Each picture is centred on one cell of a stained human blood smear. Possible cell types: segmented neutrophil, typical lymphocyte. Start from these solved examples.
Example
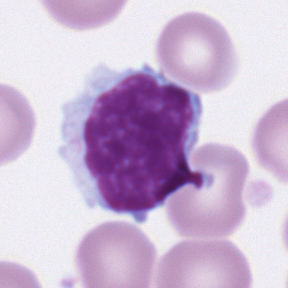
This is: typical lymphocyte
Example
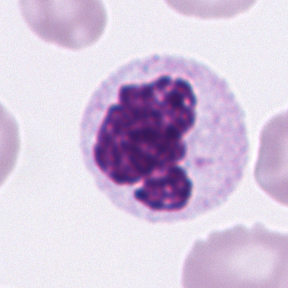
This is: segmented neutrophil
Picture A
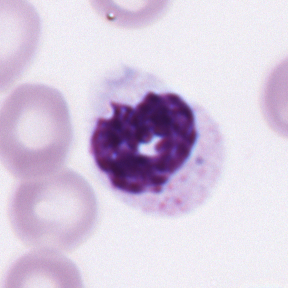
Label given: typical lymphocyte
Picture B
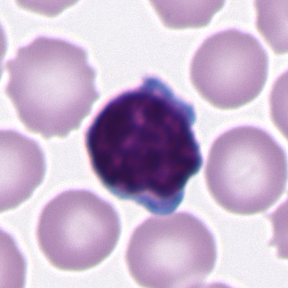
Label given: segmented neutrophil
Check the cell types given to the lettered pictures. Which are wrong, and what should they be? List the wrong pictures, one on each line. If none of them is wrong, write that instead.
A should be segmented neutrophil, not typical lymphocyte
B should be typical lymphocyte, not segmented neutrophil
